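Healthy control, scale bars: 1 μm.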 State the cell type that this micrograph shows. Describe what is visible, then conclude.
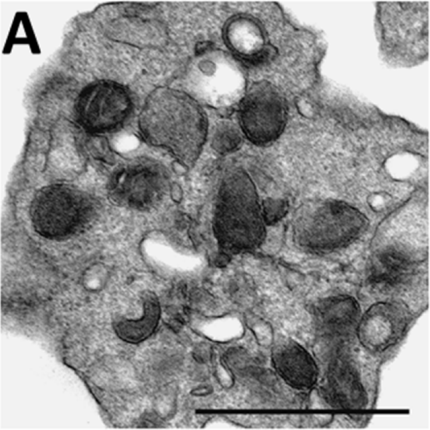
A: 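A small cell profile with no nucleus anywhere in the section. The cytoplasm is packed with dense oval granules and organelles. Clear empty vacuoles lie scattered through the cytoplasm. The answer: platelet.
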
